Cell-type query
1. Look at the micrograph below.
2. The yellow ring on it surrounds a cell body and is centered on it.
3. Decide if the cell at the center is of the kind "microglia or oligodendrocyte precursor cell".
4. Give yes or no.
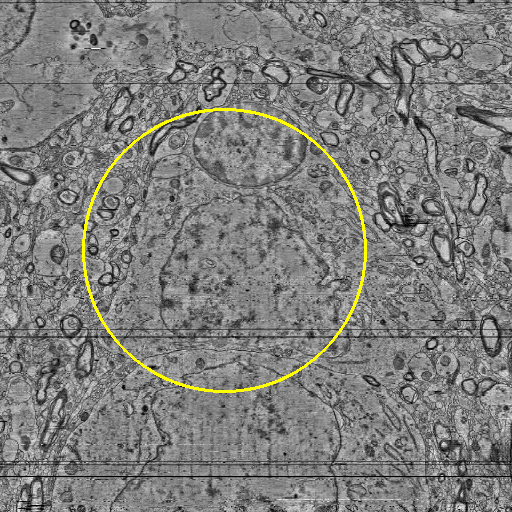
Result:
no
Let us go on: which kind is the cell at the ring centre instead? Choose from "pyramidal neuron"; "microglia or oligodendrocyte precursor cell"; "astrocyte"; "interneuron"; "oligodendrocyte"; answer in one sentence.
In this picture, the ring is centred on an interneuron.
